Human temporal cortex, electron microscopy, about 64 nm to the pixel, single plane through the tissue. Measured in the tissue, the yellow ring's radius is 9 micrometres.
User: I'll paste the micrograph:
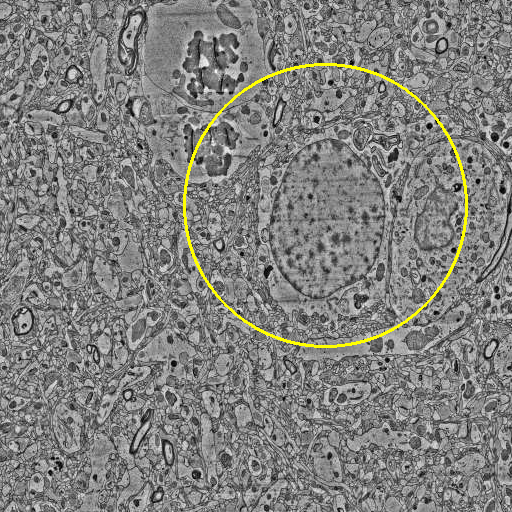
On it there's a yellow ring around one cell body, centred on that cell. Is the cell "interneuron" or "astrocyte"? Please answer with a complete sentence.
The cell ringed in yellow is an astrocyte.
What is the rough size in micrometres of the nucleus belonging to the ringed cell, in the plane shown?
The nucleus is approximately 10 micrometers long by 7 micrometers wide in this plane.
